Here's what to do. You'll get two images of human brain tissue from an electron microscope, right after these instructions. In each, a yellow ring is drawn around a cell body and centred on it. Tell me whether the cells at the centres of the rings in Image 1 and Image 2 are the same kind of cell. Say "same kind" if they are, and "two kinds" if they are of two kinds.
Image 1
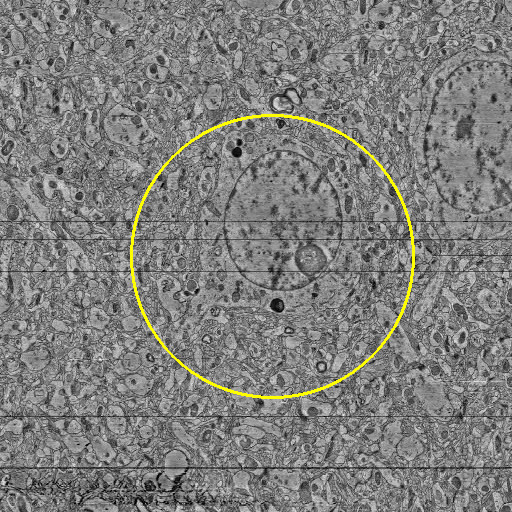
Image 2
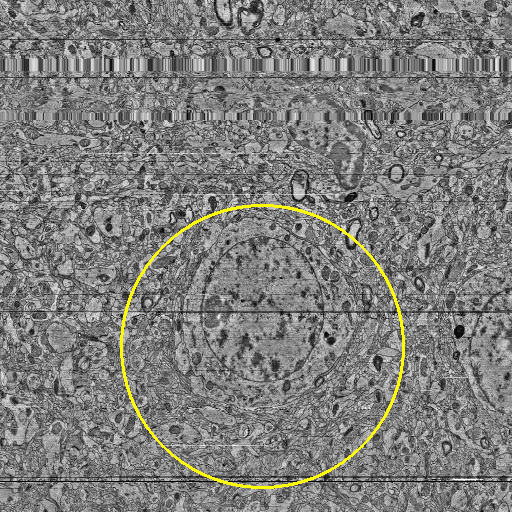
same kind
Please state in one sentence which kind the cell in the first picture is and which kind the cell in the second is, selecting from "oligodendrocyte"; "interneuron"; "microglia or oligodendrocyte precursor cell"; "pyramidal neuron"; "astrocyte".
Each of the two pictures has a pyramidal neuron at the ring centre.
